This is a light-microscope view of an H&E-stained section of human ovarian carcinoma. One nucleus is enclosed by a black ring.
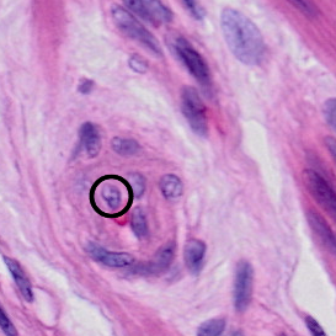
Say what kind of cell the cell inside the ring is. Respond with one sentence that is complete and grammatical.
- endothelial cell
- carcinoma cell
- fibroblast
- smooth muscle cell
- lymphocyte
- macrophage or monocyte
On this particular slide, the cell inside the ring is an endothelial cell.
